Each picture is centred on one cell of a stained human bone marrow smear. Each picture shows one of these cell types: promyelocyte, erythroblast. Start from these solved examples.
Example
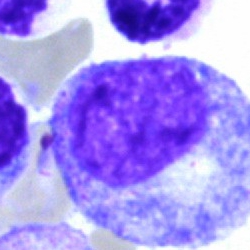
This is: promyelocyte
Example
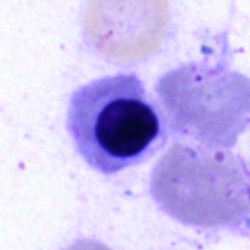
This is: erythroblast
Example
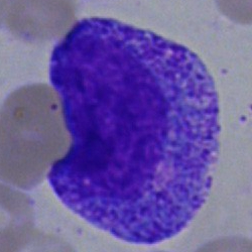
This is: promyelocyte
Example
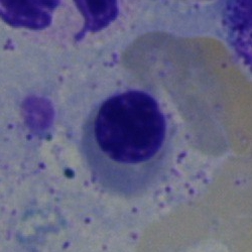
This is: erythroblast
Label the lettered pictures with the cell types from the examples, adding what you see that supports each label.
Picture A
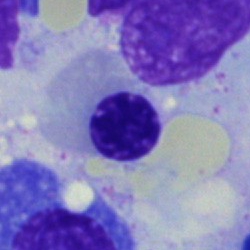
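erythroblast: The chromatin is dense and dark purple with coarse clumps.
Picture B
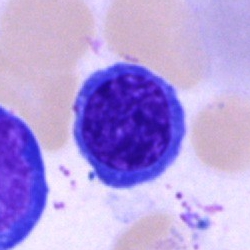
erythroblast: The chromatin is dark purple and coarsely clumped.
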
